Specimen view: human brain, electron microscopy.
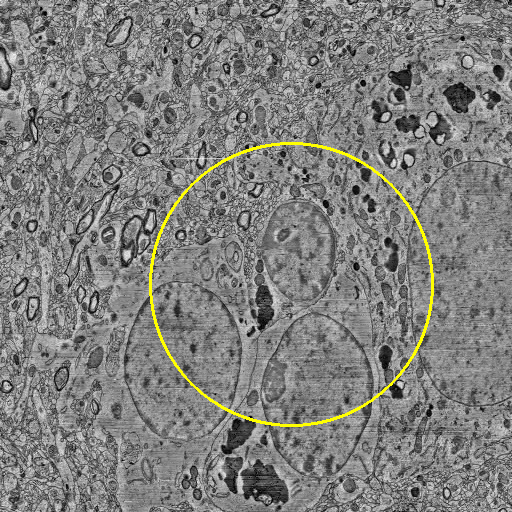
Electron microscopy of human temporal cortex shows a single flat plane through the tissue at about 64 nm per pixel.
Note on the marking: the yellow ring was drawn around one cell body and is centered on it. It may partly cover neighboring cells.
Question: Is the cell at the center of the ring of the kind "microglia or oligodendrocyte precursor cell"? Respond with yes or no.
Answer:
yes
